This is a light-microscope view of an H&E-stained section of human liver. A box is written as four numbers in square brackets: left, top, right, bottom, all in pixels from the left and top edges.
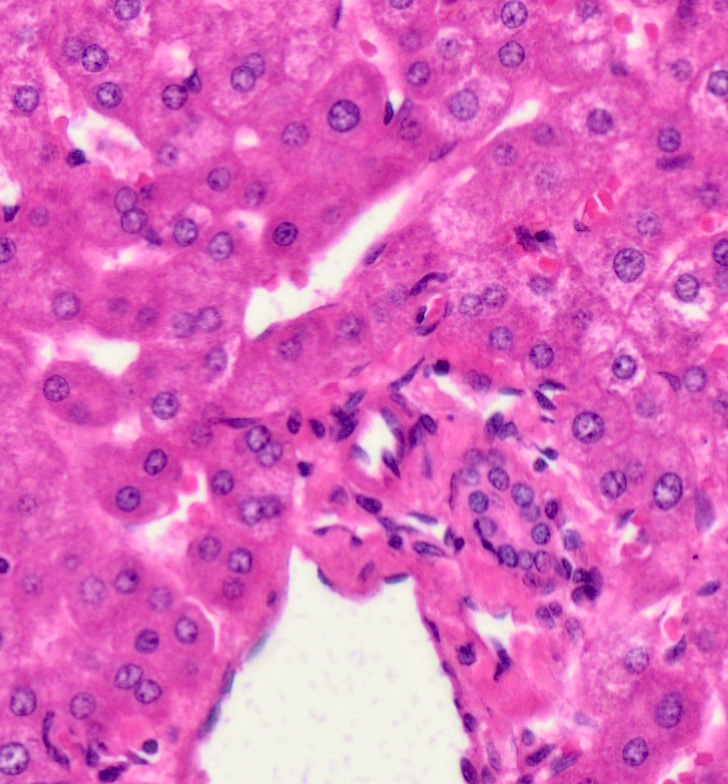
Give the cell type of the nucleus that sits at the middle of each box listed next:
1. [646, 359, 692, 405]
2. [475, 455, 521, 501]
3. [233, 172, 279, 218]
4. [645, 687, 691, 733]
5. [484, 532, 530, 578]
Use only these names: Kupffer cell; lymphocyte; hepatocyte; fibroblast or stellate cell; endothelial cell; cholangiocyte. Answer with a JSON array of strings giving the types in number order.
["fibroblast or stellate cell", "cholangiocyte", "hepatocyte", "hepatocyte", "cholangiocyte"]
